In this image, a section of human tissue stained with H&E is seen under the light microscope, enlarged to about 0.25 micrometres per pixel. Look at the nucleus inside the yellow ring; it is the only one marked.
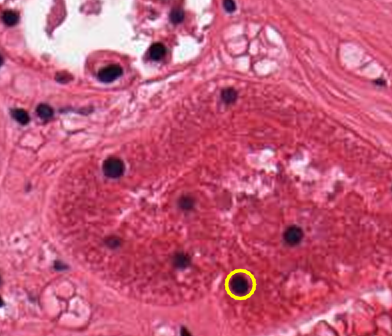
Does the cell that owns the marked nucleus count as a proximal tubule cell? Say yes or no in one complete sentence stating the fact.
Yes, the marked nucleus, as shown, belongs to a proximal tubule cell.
